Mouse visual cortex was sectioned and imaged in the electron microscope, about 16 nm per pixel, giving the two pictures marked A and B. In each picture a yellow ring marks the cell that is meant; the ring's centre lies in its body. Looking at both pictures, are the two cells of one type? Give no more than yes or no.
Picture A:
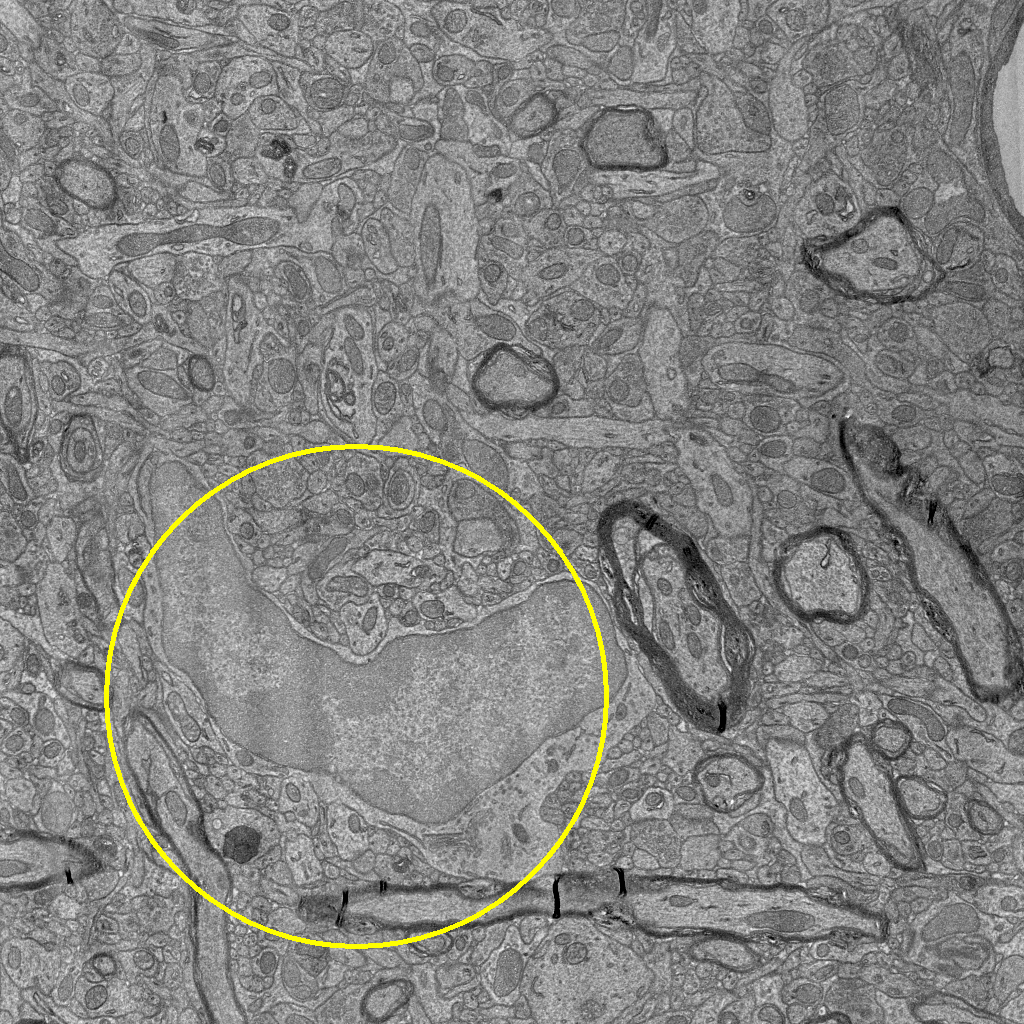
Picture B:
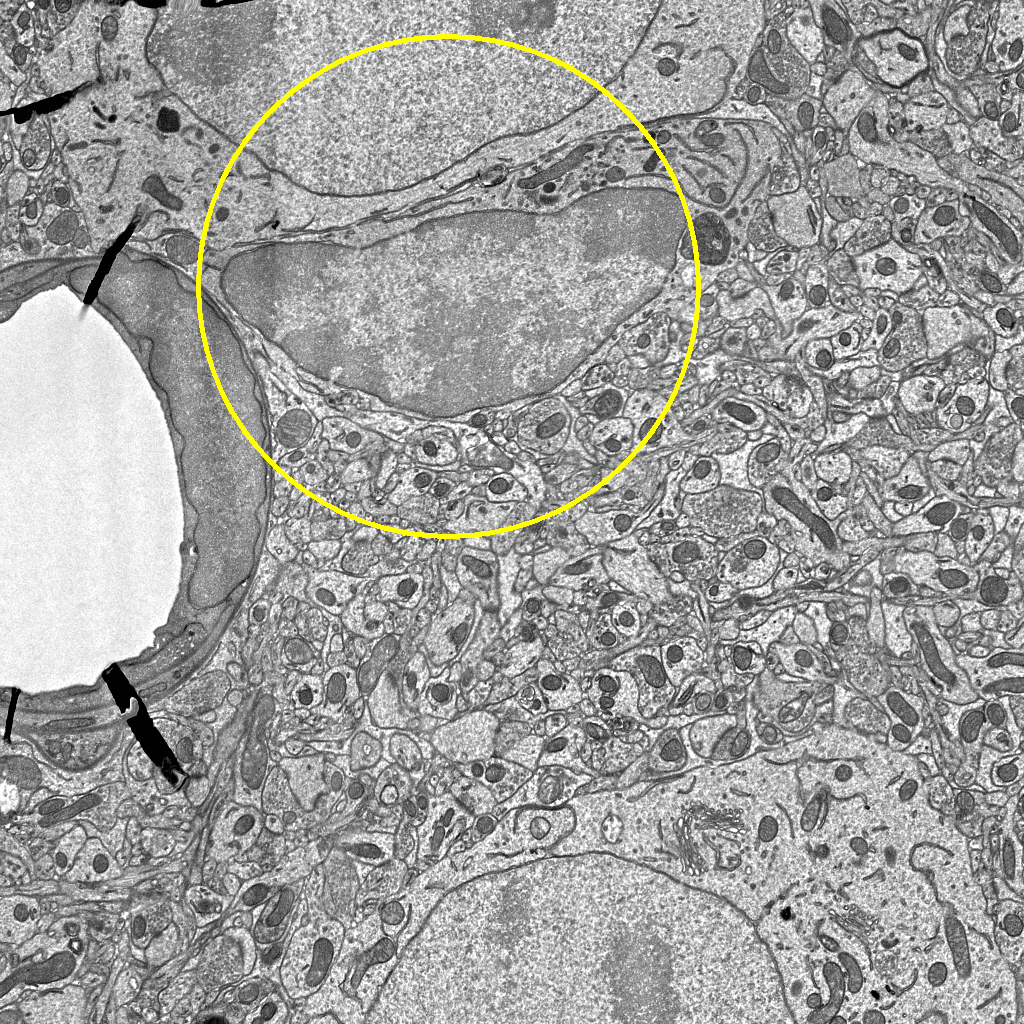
yes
